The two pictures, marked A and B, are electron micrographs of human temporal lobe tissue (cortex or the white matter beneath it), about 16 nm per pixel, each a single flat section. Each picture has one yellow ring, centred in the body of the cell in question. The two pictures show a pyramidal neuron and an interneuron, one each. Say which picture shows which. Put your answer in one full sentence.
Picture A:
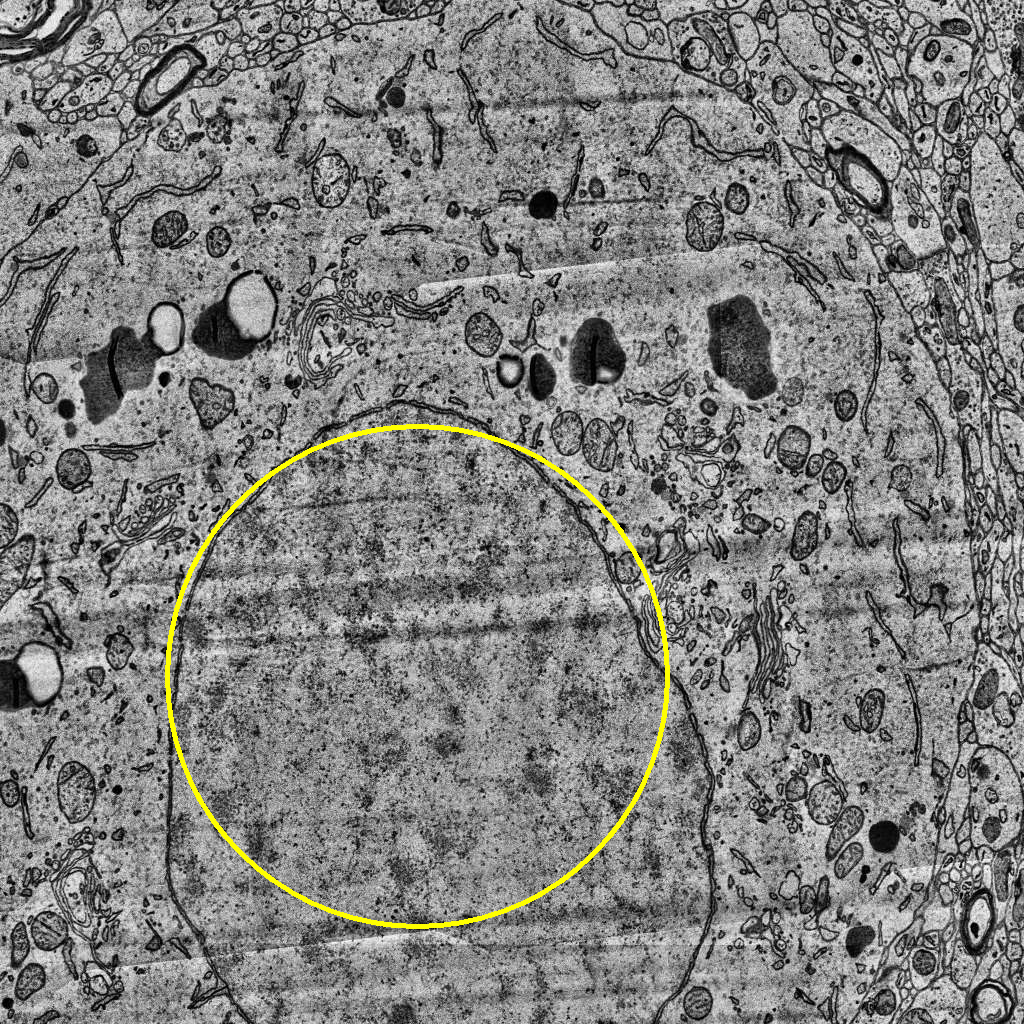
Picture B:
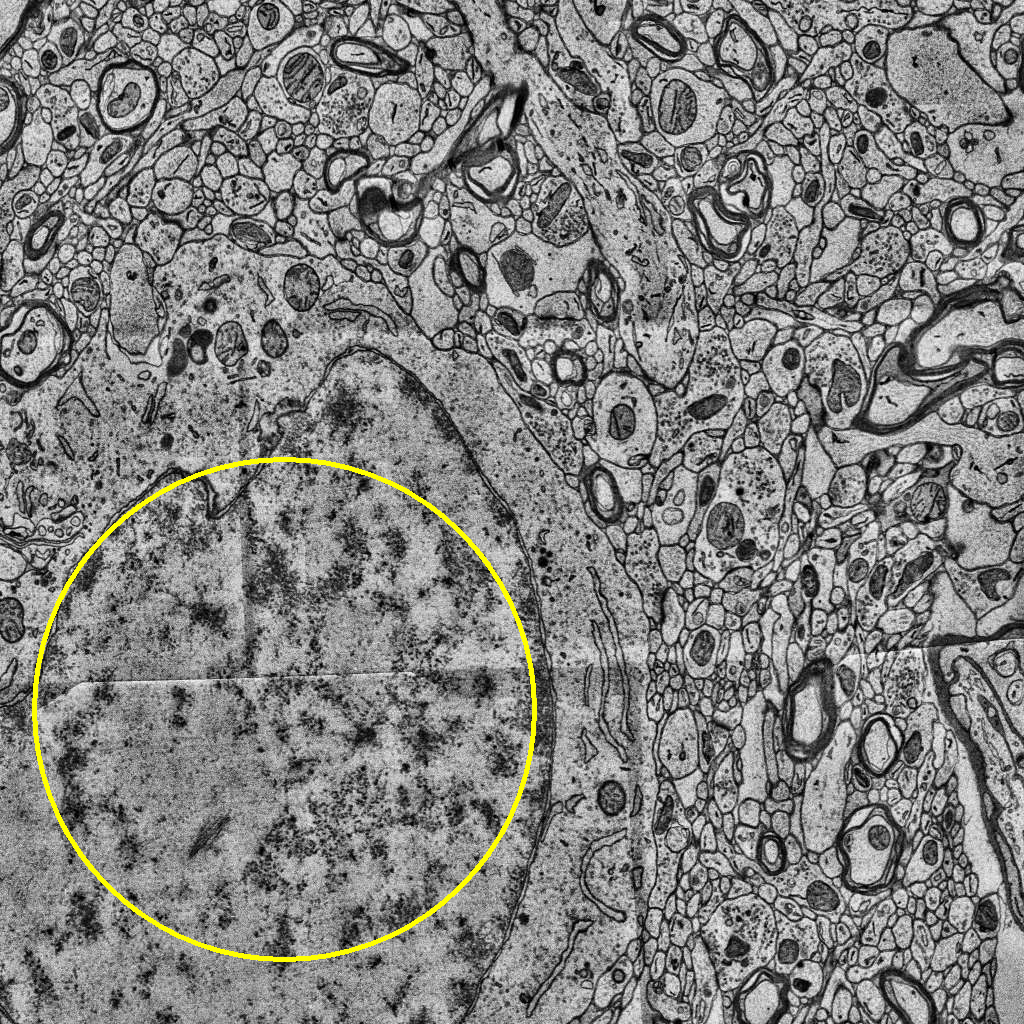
It is picture A that shows a pyramidal neuron, and picture B that shows an interneuron.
